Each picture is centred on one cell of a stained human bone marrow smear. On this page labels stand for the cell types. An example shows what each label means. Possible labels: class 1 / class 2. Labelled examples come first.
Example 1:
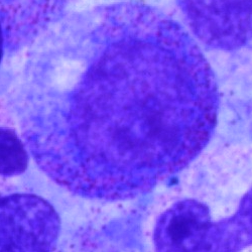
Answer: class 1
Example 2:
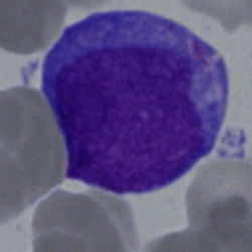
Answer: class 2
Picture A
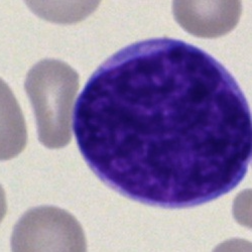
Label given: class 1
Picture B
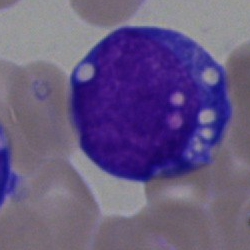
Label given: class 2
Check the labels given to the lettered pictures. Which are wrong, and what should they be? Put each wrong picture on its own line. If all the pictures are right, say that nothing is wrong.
A should be class 2, not class 1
